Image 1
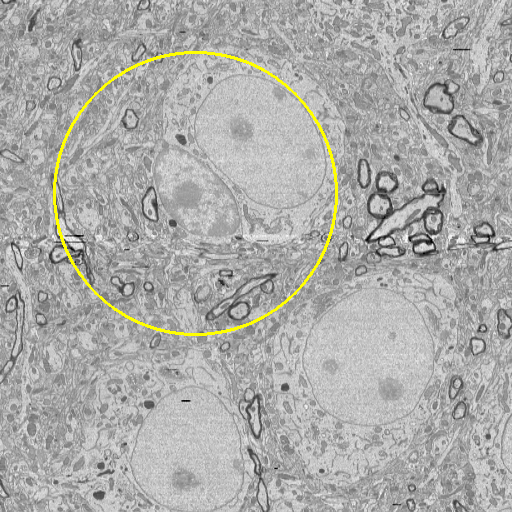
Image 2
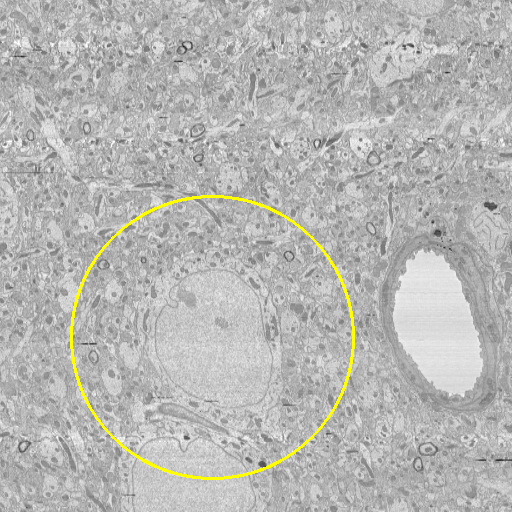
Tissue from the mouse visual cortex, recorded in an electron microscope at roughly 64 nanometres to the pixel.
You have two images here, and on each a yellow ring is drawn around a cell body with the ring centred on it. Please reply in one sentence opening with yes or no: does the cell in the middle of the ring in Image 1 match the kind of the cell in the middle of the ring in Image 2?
No, the two images show cells of two kinds at the centres of their rings.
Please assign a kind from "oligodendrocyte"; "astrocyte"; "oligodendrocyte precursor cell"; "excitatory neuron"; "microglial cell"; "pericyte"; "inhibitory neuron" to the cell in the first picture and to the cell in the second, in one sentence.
In the first picture we have an oligodendrocyte, and in the second, an excitatory neuron.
